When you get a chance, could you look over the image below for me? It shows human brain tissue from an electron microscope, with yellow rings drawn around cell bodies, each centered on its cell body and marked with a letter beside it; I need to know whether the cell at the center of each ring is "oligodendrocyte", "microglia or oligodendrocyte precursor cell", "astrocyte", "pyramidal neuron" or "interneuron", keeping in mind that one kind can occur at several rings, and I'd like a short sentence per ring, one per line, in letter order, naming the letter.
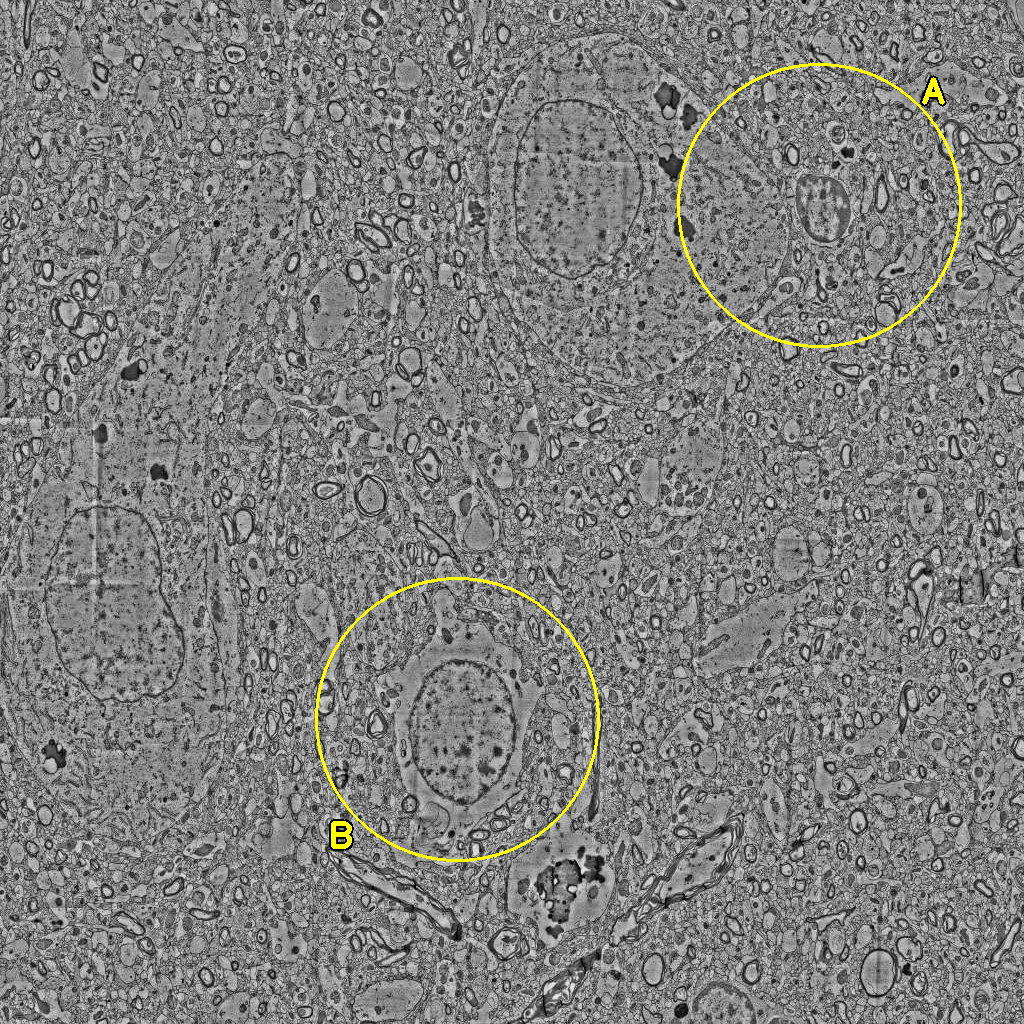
Ring A is centered on a microglial cell or oligodendrocyte precursor cell.
Ring B is centered on an astrocyte.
